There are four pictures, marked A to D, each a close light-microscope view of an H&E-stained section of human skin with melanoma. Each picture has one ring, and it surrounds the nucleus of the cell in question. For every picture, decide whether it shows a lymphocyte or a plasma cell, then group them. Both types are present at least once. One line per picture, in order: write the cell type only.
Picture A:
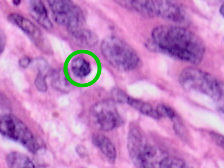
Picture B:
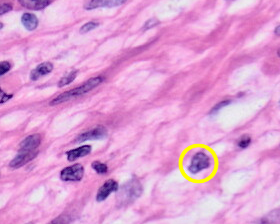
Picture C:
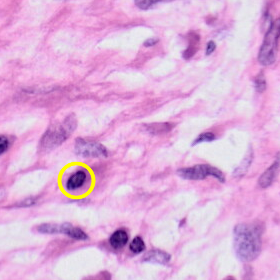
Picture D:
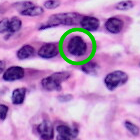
lymphocyte
lymphocyte
plasma cell
plasma cell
